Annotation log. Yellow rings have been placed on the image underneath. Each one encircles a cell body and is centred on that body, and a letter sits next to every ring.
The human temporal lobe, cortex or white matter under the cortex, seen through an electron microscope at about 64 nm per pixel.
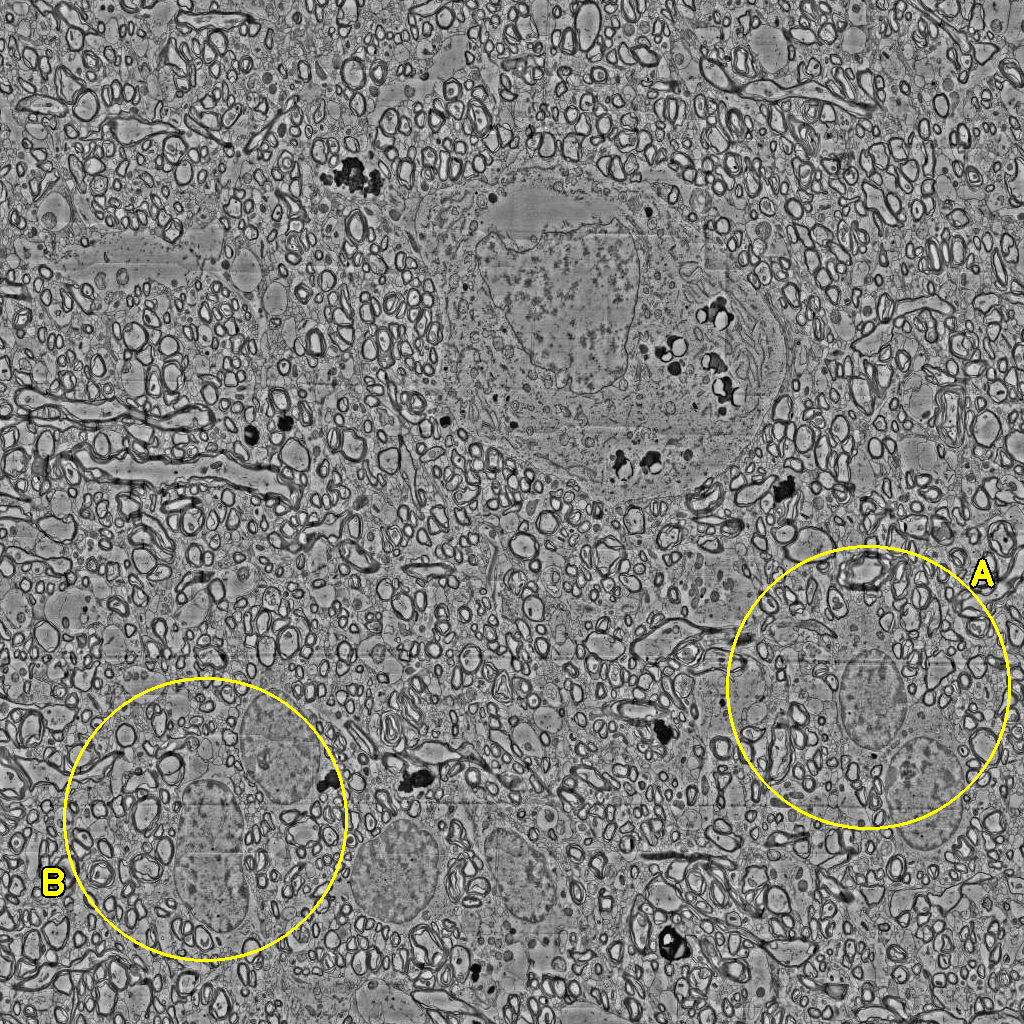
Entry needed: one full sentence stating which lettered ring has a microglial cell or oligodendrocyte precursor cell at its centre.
The cell asked for sits at the centre of Ring B in the picture.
